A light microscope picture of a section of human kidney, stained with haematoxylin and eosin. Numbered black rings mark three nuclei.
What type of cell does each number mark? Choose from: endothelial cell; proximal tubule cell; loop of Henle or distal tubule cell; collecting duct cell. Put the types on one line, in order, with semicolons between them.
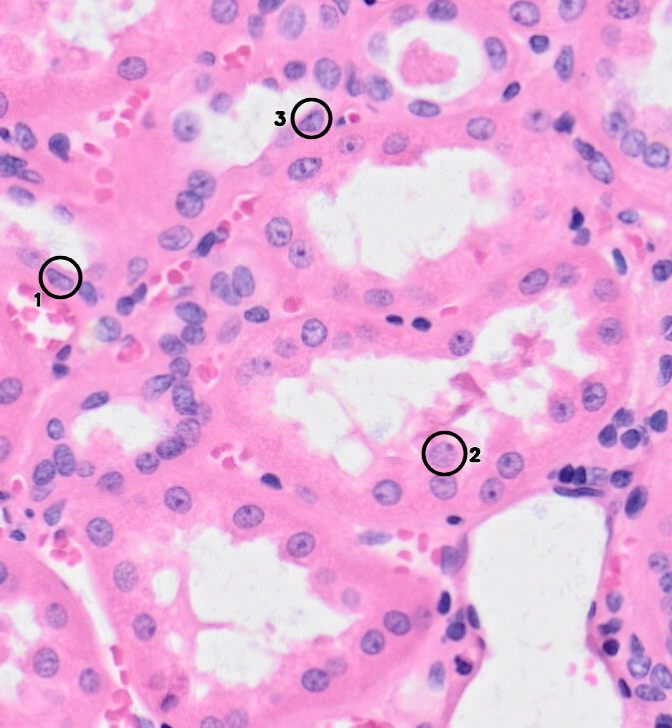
collecting duct cell; proximal tubule cell; collecting duct cell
